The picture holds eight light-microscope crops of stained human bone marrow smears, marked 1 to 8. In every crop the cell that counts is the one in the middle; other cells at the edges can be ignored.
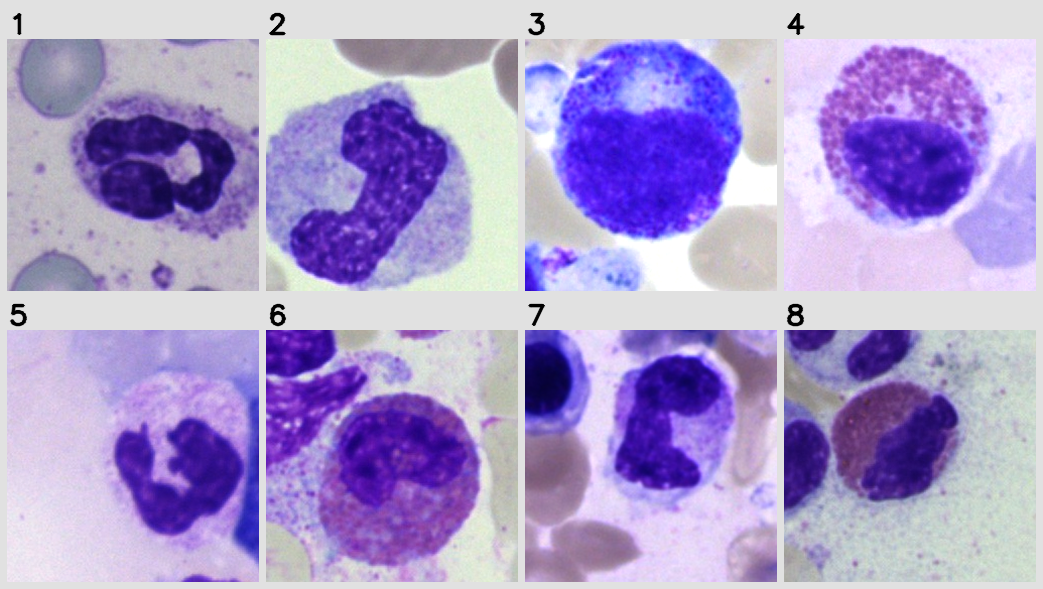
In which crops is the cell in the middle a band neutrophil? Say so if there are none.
2, 7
